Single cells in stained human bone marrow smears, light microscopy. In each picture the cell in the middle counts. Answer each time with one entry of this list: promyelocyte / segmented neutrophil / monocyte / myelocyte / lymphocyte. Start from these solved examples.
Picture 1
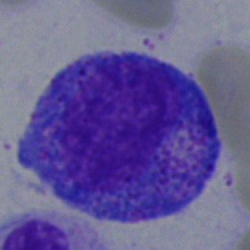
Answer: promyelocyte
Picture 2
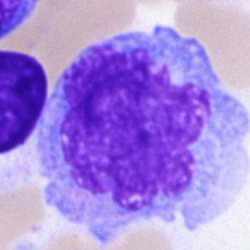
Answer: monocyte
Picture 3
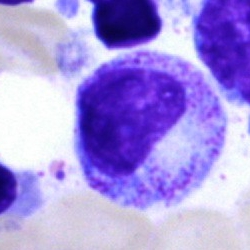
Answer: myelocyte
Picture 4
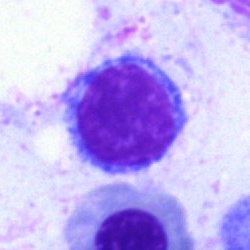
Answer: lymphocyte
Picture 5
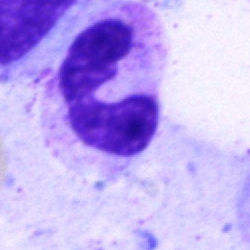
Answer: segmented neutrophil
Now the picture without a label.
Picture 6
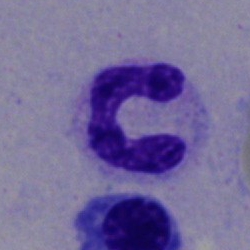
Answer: segmented neutrophil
